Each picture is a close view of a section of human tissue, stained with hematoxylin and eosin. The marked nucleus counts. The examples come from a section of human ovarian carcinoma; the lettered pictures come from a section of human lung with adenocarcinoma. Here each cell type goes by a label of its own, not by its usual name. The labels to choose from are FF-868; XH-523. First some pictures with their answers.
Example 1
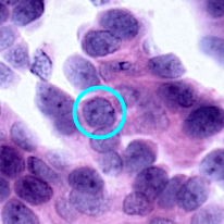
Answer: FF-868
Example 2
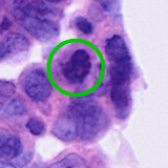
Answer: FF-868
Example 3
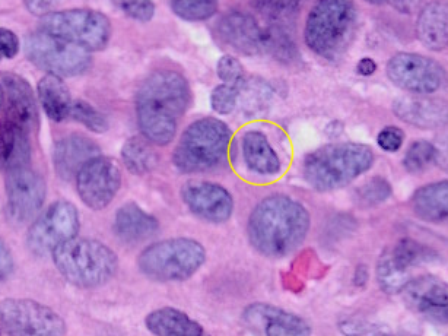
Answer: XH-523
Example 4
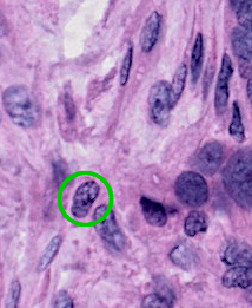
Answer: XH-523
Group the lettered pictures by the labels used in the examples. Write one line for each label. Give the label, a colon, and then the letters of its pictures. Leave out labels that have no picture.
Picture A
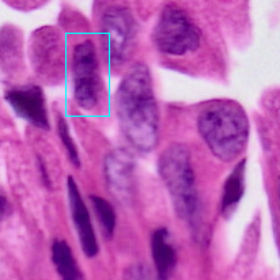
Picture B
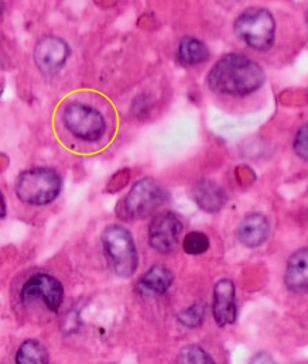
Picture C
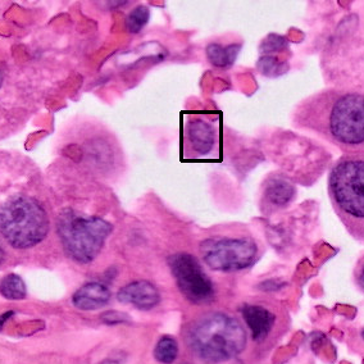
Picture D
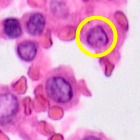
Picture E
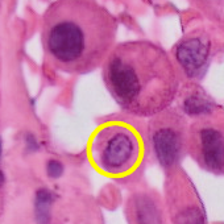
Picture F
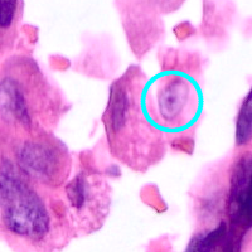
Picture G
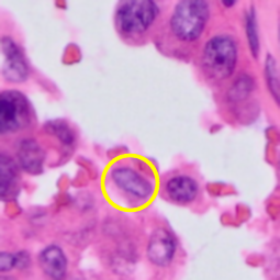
FF-868: A
XH-523: B, C, D, E, F, G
